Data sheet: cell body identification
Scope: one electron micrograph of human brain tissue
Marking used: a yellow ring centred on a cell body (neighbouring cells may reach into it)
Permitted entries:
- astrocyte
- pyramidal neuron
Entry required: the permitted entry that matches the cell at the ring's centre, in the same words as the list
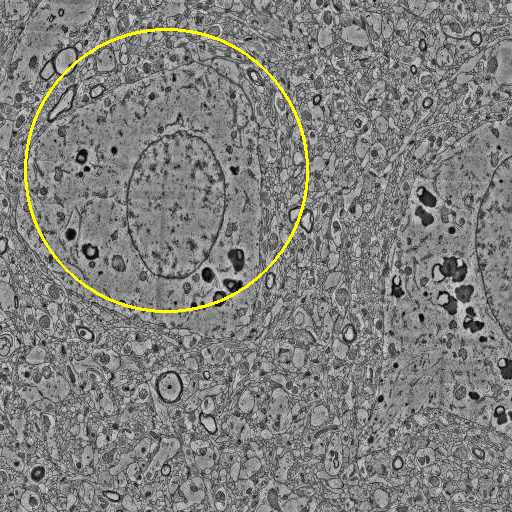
pyramidal neuron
